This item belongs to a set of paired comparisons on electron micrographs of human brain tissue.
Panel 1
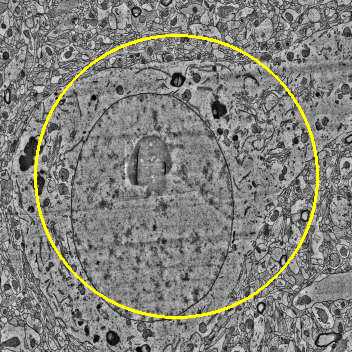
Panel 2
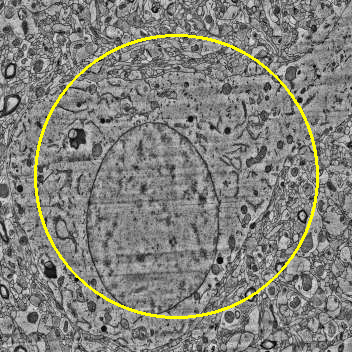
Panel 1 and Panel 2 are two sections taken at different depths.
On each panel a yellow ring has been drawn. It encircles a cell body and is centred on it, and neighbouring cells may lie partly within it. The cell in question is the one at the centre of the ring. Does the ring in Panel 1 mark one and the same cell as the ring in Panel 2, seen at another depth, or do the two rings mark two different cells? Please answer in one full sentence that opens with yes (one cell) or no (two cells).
Yes, the cell inside the first ring is the cell inside the second.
